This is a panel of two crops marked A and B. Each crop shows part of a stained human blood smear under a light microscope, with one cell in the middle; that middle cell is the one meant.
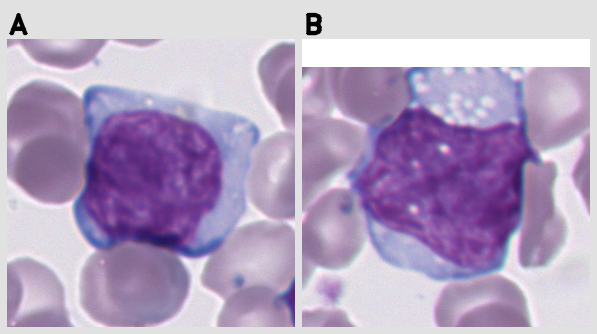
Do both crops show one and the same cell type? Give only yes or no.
yes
